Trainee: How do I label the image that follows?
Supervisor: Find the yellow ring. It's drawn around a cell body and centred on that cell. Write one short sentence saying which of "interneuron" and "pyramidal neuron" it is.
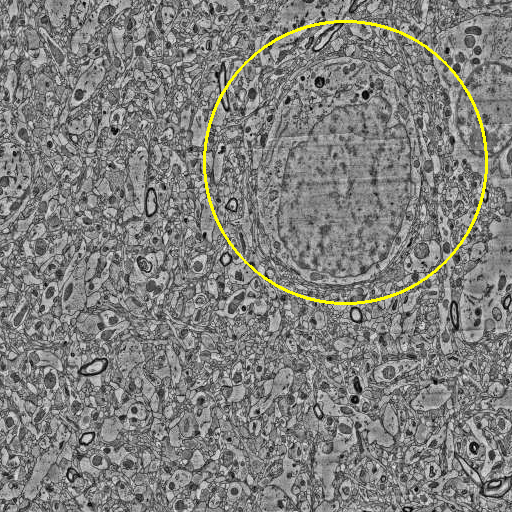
This is the cell body of an interneuron.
